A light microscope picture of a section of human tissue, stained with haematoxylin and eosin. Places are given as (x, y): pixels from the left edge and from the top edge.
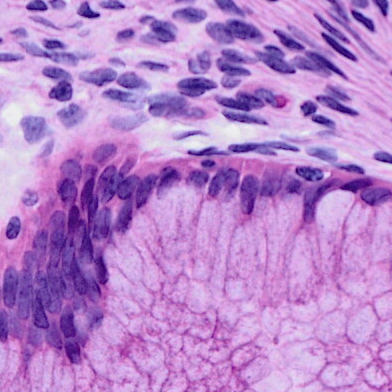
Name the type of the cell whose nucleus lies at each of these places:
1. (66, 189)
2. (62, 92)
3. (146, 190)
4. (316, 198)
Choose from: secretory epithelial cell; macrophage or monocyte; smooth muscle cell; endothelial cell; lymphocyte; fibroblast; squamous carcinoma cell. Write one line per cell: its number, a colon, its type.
1: secretory epithelial cell
2: lymphocyte
3: secretory epithelial cell
4: secretory epithelial cell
